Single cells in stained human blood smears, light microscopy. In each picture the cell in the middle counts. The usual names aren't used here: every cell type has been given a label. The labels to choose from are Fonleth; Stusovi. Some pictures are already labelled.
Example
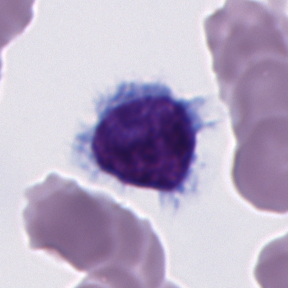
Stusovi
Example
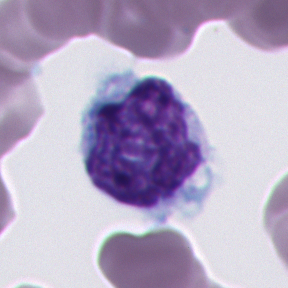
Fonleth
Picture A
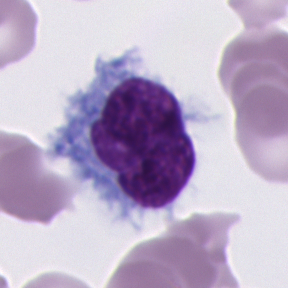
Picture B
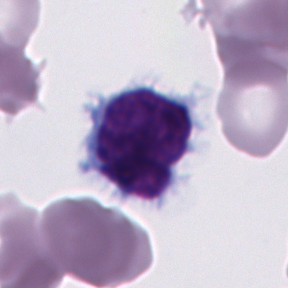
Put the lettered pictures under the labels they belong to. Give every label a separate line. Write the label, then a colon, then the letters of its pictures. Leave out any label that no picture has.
Stusovi: A, B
